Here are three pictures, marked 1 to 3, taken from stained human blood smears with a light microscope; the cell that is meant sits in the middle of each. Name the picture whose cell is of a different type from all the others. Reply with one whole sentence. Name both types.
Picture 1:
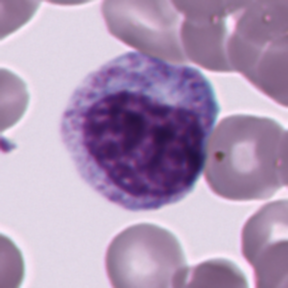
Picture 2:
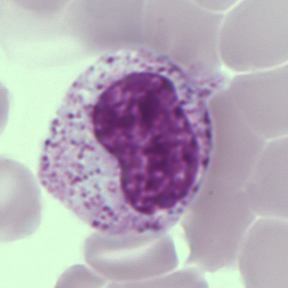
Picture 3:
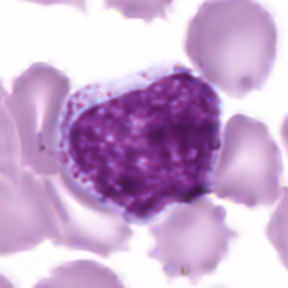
Unlike the rest, which show metamyelocytes, picture 3 shows a myelocyte.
